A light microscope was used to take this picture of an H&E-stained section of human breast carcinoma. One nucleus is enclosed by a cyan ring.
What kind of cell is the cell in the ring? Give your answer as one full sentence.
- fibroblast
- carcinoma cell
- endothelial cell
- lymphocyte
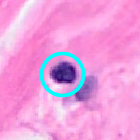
The cell in the ring appears to be a lymphocyte.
